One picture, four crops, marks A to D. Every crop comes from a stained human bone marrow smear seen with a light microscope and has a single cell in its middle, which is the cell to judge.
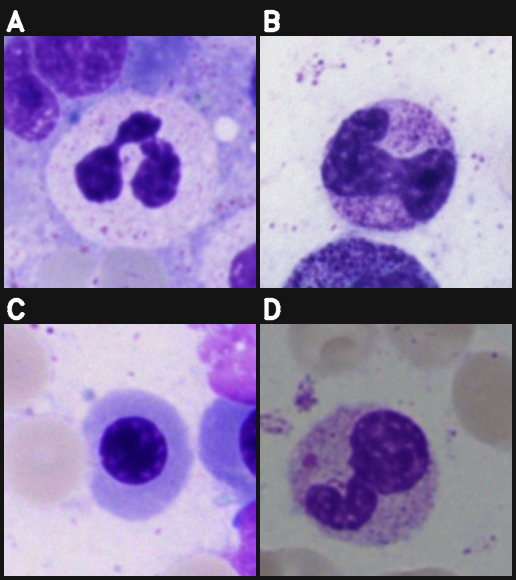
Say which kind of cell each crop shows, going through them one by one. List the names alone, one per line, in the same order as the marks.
segmented neutrophil
band neutrophil
erythroblast
segmented neutrophil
